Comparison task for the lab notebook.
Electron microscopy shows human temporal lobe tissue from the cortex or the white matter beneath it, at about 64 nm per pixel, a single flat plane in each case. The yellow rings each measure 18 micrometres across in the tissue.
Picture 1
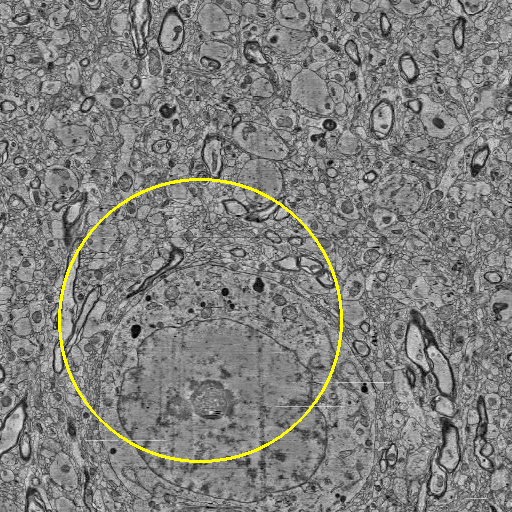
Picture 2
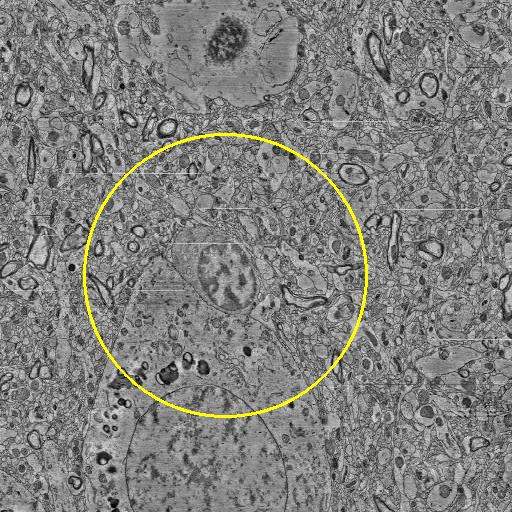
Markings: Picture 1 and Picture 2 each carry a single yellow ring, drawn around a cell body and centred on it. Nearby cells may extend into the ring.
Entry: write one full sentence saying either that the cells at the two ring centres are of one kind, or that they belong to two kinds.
The cells sitting at the ring centres in Picture 1 and Picture 2 belong to two kinds.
